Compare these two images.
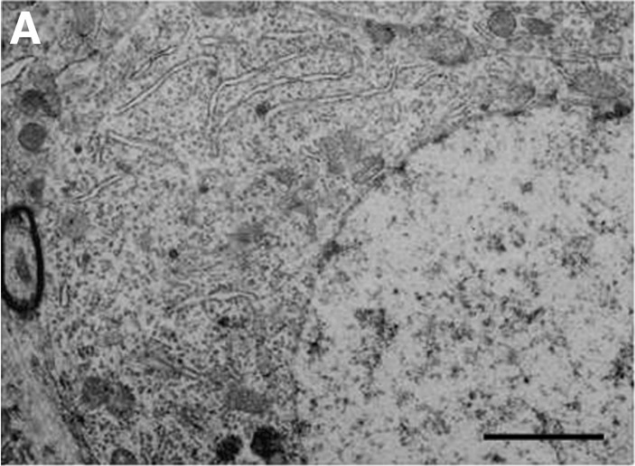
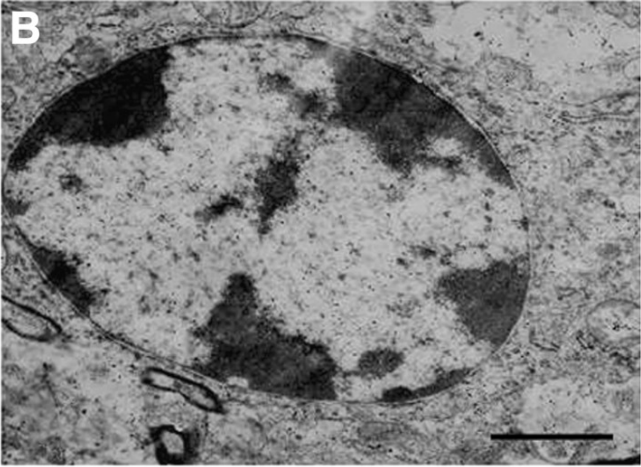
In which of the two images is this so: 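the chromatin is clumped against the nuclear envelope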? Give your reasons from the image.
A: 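Second image: dark chromatin clumps line the nuclear envelope. First image: chromatin is finely and evenly dispersed through the nucleus.
Hence: the second image.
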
